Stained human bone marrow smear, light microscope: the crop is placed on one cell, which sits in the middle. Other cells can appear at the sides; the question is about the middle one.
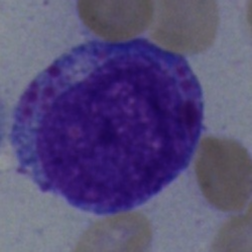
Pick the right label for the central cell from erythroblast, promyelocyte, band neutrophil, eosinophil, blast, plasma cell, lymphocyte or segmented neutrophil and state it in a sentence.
At the crop's centre, the cell is a promyelocyte.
